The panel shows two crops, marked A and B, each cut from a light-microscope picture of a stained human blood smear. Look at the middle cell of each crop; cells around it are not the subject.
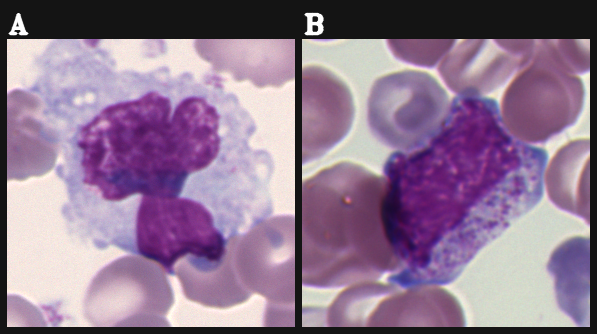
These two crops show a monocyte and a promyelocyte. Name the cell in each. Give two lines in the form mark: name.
A: monocyte
B: promyelocyte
